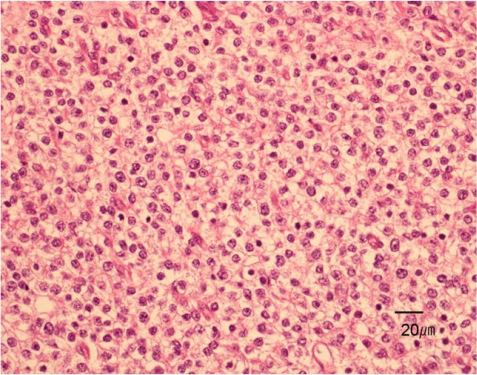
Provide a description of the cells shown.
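The cells are polygonal with abundant pale to clear cytoplasm and fairly distinct cell borders. Their nuclei are round to oval, centrally placed, with coarse chromatin and often a visible nucleolus. The cells are closely packed and evenly distributed, with only thin delicate strands between them and a few small spaces.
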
